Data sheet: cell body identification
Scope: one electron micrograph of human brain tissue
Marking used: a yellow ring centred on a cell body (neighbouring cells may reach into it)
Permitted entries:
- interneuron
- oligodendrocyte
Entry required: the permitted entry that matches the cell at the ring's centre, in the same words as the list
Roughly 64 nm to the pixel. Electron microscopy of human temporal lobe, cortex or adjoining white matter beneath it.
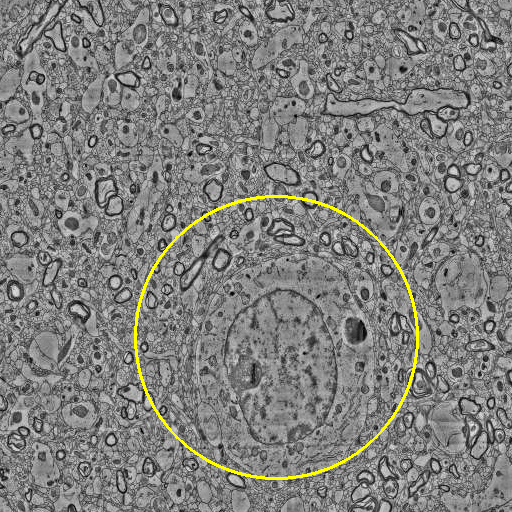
interneuron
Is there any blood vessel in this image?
No.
